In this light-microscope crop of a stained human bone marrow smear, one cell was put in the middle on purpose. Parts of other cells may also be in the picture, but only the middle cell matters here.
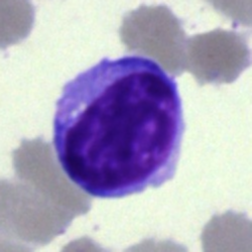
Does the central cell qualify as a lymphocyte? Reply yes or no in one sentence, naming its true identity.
Yes, the cell of interest in the centre is a lymphocyte.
